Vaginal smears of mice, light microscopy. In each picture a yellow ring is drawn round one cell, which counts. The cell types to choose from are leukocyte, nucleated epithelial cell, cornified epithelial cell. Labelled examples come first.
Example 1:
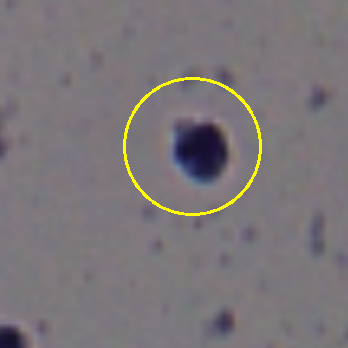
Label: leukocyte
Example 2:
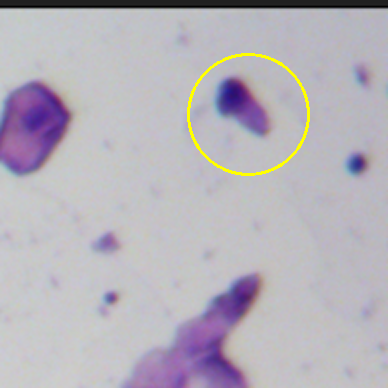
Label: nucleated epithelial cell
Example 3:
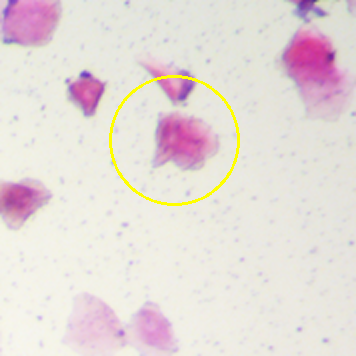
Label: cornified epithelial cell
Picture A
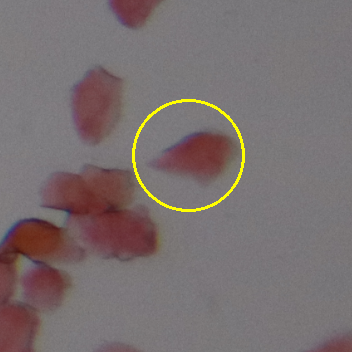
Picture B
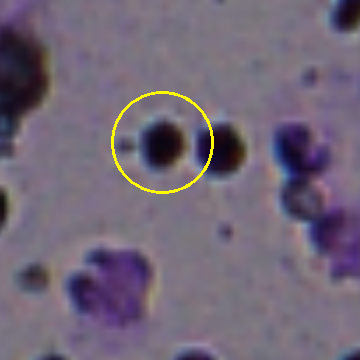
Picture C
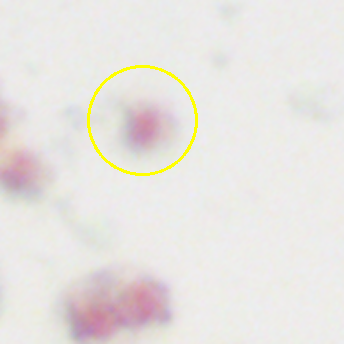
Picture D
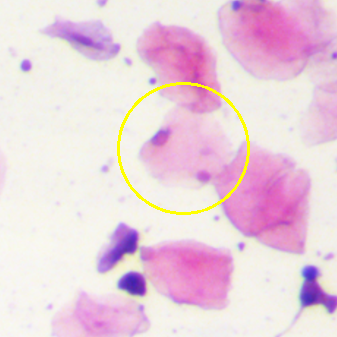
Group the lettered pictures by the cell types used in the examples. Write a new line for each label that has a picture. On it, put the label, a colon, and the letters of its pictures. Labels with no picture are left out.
leukocyte: B, C
cornified epithelial cell: A, D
